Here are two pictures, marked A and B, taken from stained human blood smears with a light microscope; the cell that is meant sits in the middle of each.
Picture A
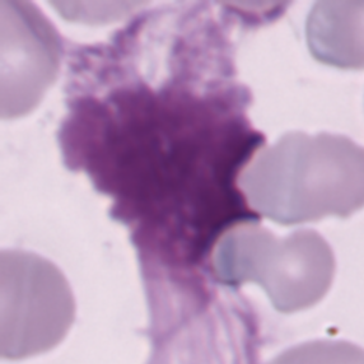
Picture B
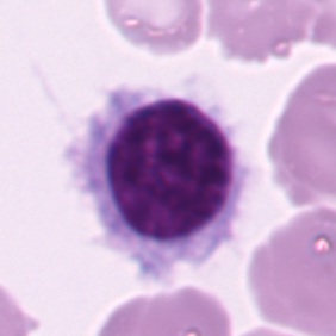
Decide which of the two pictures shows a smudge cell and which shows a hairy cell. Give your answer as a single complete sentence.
Picture A shows a smudge cell and picture B shows a hairy cell.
